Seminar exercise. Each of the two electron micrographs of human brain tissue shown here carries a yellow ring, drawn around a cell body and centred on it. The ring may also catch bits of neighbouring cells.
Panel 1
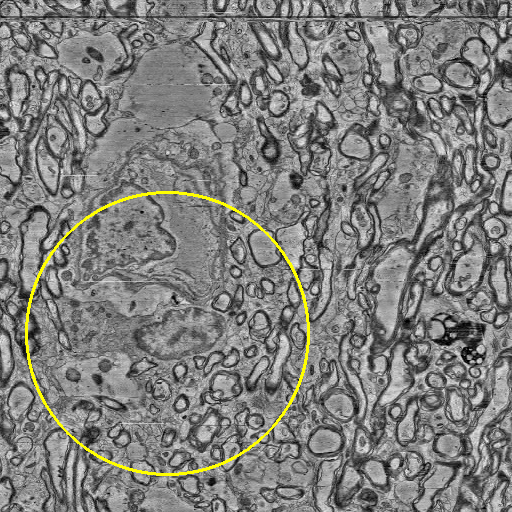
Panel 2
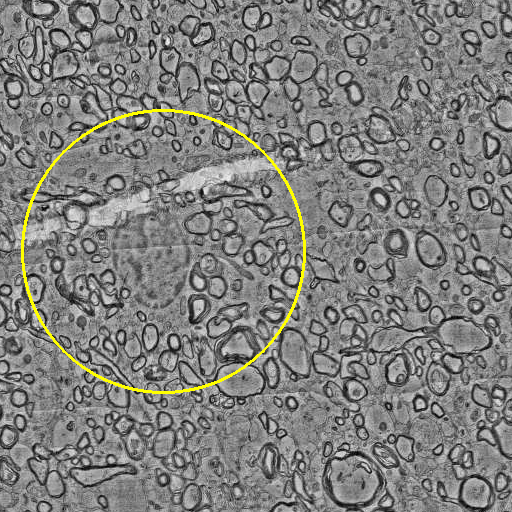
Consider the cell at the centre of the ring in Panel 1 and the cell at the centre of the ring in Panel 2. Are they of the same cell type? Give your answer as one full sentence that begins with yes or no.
Yes, both cells are of the same type.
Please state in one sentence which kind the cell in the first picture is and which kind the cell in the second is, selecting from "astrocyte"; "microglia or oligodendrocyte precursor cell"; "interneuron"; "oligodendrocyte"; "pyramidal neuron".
In both pictures the ring is centred on an oligodendrocyte.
